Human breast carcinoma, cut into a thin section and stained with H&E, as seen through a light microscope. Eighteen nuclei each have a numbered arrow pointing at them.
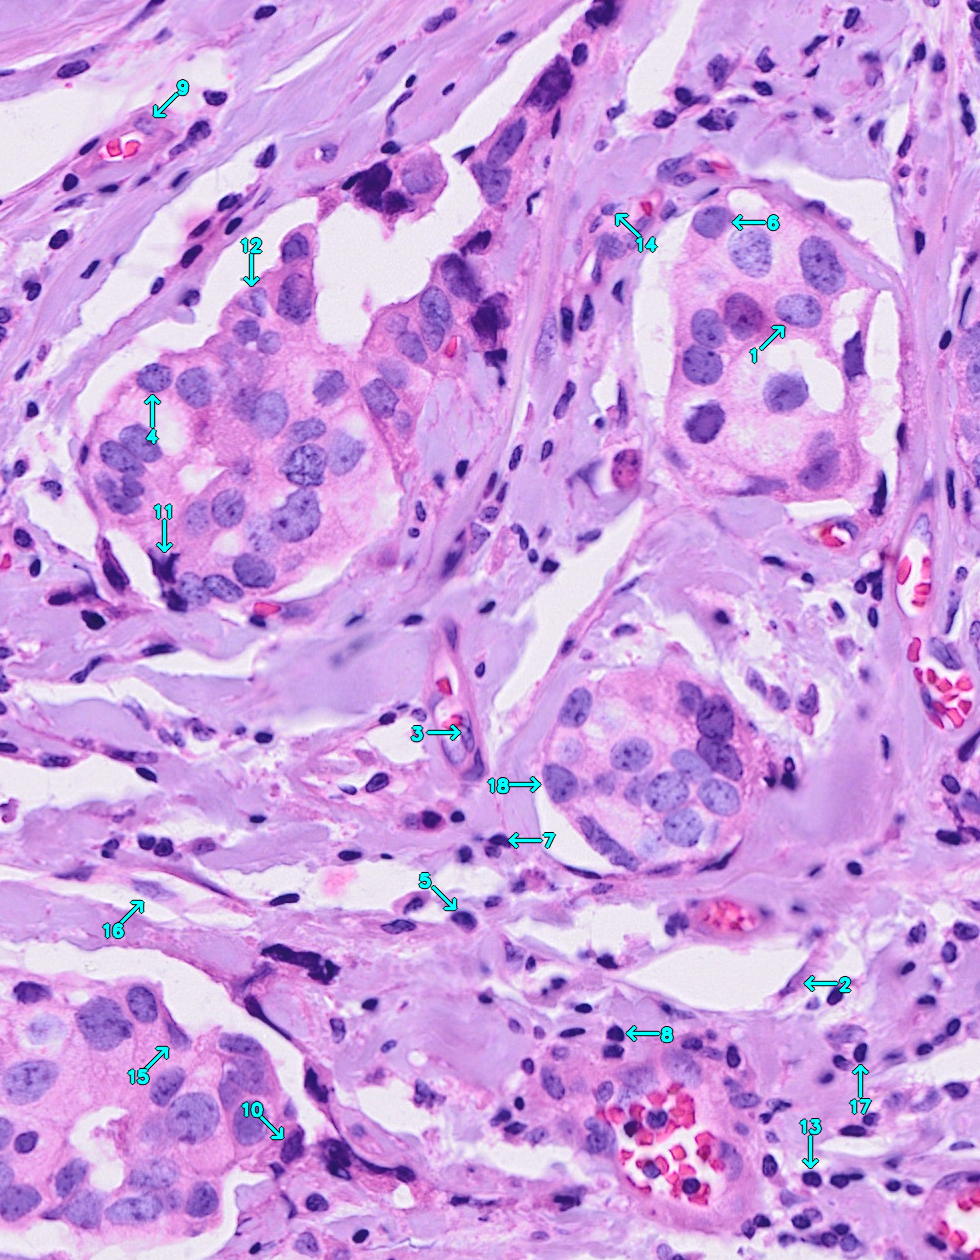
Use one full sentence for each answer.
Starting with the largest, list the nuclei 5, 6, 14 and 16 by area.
From largest to smallest, the order is 6, 16, 5, 14.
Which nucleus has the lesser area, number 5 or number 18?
With nucleus 18 about 3 times its size, nucleus 5 is the smaller of the two.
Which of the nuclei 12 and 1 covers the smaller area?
The smaller nucleus is 12, and 1 covers roughly 2.5 times its area.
